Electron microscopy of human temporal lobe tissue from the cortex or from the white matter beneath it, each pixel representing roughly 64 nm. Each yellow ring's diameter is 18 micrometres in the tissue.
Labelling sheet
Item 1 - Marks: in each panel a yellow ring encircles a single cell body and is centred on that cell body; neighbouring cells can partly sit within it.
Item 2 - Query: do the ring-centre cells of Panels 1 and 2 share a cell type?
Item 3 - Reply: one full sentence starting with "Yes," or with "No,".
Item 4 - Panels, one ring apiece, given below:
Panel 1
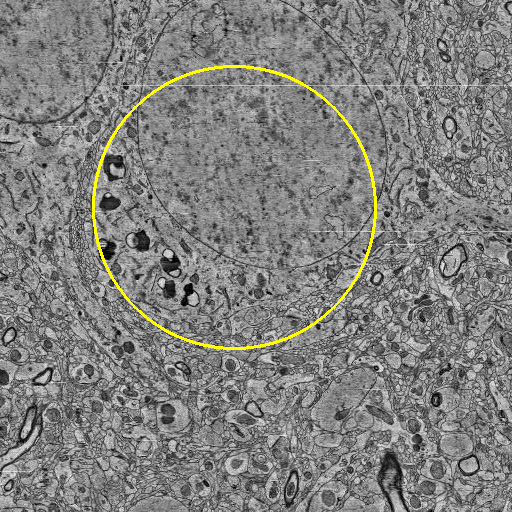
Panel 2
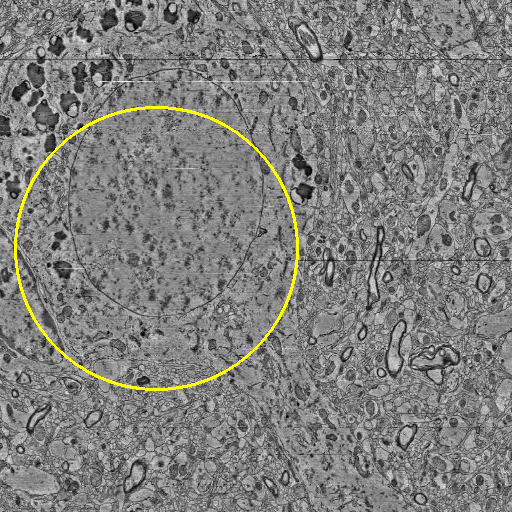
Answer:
Yes, Panel 1 and Panel 2 show one cell type at the centres of their rings.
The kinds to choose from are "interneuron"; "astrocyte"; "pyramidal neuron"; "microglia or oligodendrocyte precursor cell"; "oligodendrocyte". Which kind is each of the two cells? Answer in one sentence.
Each cell, in the first picture and the second, is a pyramidal neuron.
